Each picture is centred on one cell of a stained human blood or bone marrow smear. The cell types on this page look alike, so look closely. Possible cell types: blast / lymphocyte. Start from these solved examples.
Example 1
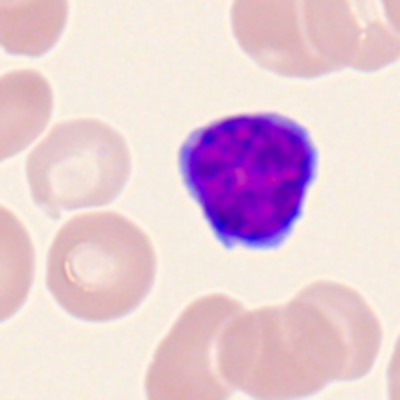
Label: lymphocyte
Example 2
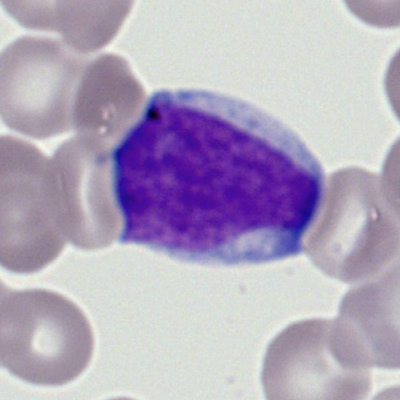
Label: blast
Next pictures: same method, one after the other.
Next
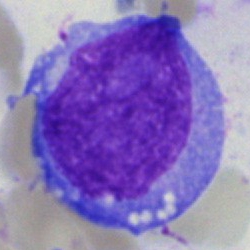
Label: blast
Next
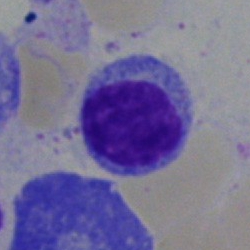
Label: lymphocyte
